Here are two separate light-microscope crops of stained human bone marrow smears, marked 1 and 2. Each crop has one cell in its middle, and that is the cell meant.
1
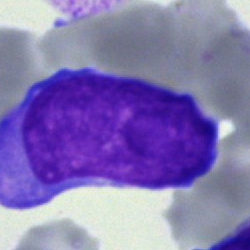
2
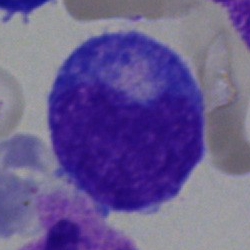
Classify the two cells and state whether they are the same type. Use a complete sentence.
No, crop 1 is where a blast is, and crop 2 is where a promyelocyte is.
